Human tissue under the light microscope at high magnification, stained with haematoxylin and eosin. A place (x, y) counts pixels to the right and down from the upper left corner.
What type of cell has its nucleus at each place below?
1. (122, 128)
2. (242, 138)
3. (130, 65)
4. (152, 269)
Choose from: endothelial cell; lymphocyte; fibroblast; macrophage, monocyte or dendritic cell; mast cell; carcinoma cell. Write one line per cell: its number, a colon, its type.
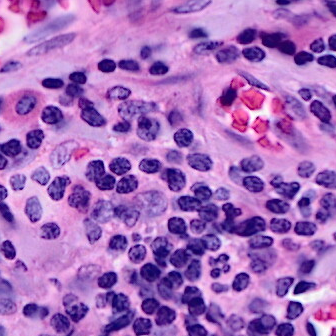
1: lymphocyte
2: endothelial cell
3: lymphocyte
4: lymphocyte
